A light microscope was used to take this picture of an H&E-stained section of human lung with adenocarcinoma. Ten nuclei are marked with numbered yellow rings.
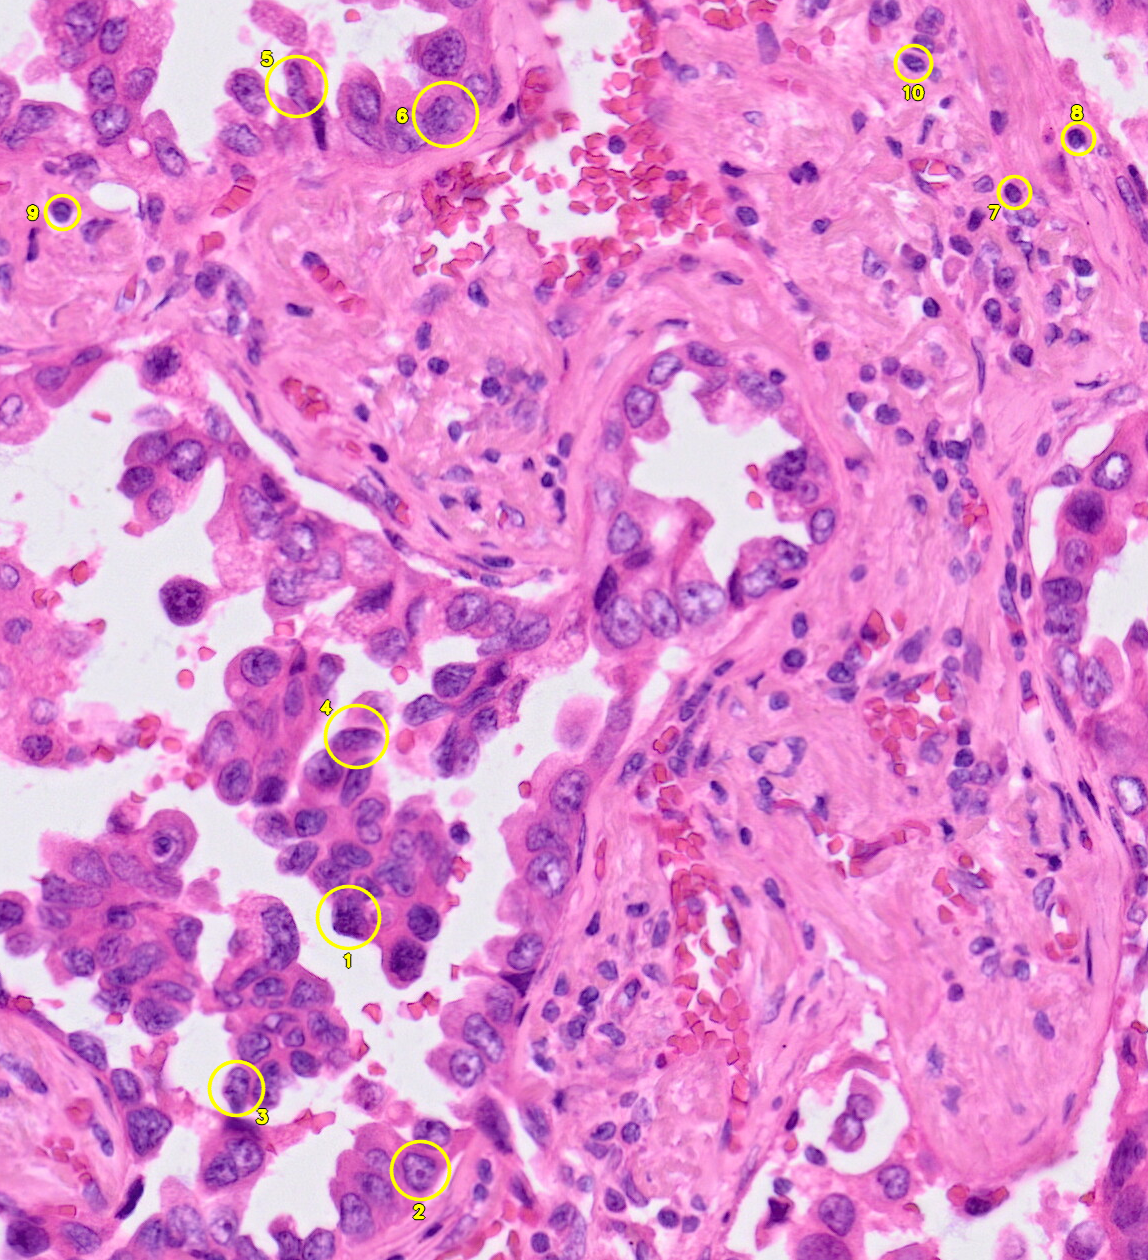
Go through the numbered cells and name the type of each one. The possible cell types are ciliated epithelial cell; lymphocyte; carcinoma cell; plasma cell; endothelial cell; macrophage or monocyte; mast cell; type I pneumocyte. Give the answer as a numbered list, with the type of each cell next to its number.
1. carcinoma cell
2. carcinoma cell
3. carcinoma cell
4. carcinoma cell
5. carcinoma cell
6. carcinoma cell
7. lymphocyte
8. lymphocyte
9. plasma cell
10. lymphocyte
